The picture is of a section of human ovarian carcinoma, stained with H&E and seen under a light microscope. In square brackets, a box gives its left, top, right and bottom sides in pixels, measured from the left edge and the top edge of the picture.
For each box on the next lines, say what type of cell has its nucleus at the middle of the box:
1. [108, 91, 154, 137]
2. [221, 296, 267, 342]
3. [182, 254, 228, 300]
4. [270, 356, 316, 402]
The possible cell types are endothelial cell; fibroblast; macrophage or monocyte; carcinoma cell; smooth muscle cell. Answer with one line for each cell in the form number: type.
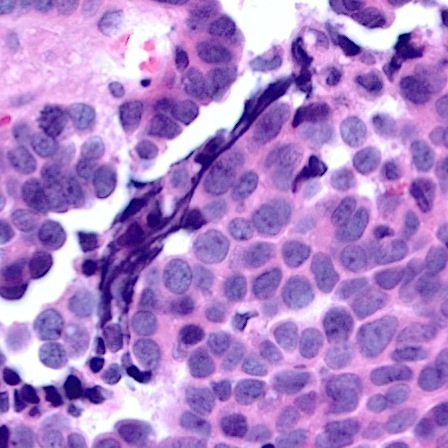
1: carcinoma cell
2: macrophage or monocyte
3: carcinoma cell
4: carcinoma cell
